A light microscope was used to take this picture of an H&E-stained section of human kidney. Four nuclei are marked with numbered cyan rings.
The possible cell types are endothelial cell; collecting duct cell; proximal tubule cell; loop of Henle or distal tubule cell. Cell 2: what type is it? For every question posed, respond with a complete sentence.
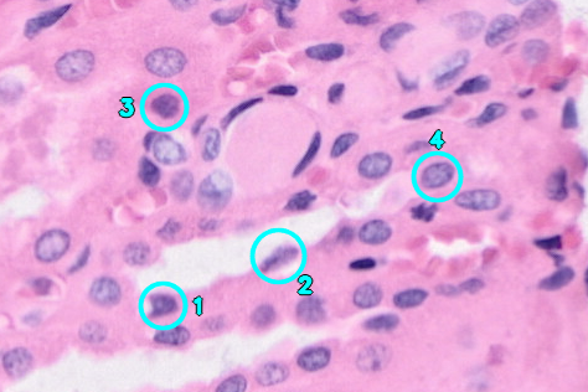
The cell identified by the number 2 is a loop of Henle or distal tubule cell.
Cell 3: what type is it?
In the marked set, the cell given number 3 is a proximal tubule cell.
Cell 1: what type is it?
The cell carrying label 1 is identified as a loop of Henle or distal tubule cell.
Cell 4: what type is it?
The marked cell with the number 4 is recognised as a loop of Henle or distal tubule cell.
